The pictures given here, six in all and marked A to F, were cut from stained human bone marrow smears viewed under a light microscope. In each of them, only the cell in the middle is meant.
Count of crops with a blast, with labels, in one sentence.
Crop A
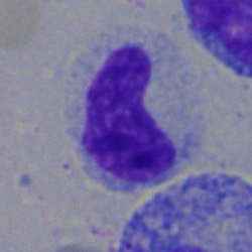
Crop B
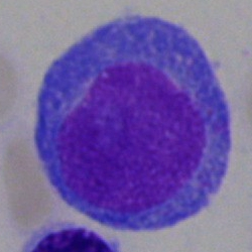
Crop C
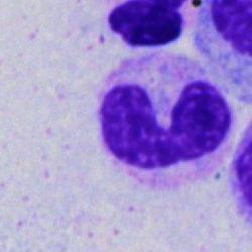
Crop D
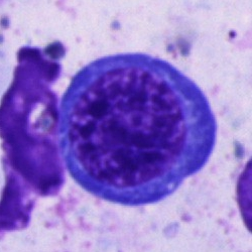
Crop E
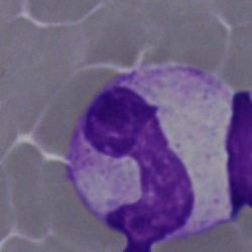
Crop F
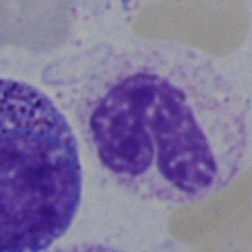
The one crop that shows a blast is crop B.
